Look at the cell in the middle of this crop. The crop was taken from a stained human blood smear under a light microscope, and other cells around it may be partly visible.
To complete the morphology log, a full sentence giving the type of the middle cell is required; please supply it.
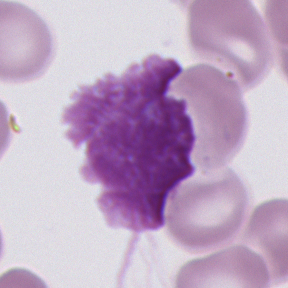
As for the cell in the middle, it is a smudge cell.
